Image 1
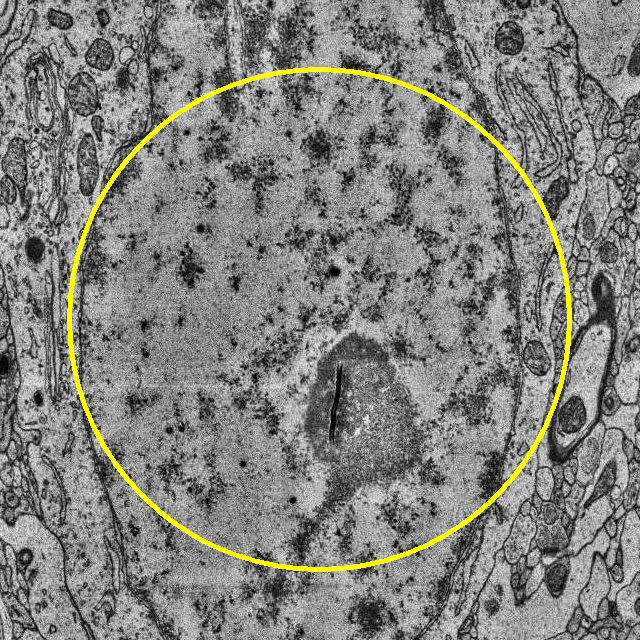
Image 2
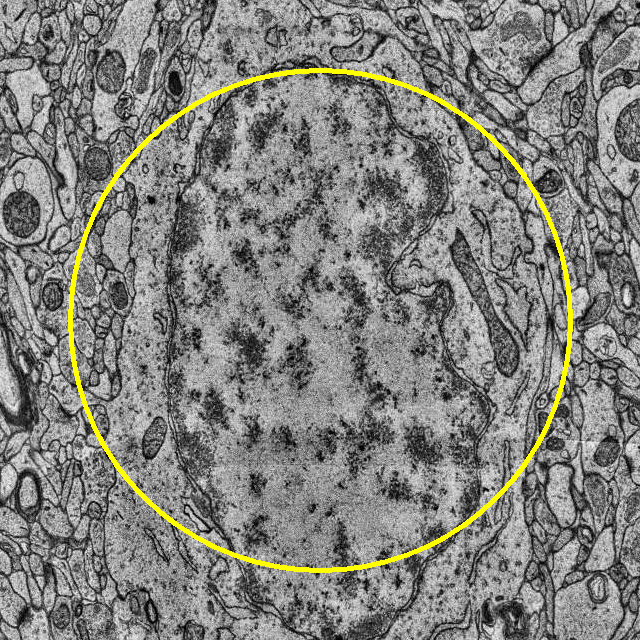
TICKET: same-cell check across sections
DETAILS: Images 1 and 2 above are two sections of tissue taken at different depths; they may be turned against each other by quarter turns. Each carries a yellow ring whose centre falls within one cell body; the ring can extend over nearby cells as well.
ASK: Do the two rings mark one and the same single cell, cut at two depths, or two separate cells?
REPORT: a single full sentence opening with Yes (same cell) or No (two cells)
Yes, both marked profiles belong to the very same cell.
